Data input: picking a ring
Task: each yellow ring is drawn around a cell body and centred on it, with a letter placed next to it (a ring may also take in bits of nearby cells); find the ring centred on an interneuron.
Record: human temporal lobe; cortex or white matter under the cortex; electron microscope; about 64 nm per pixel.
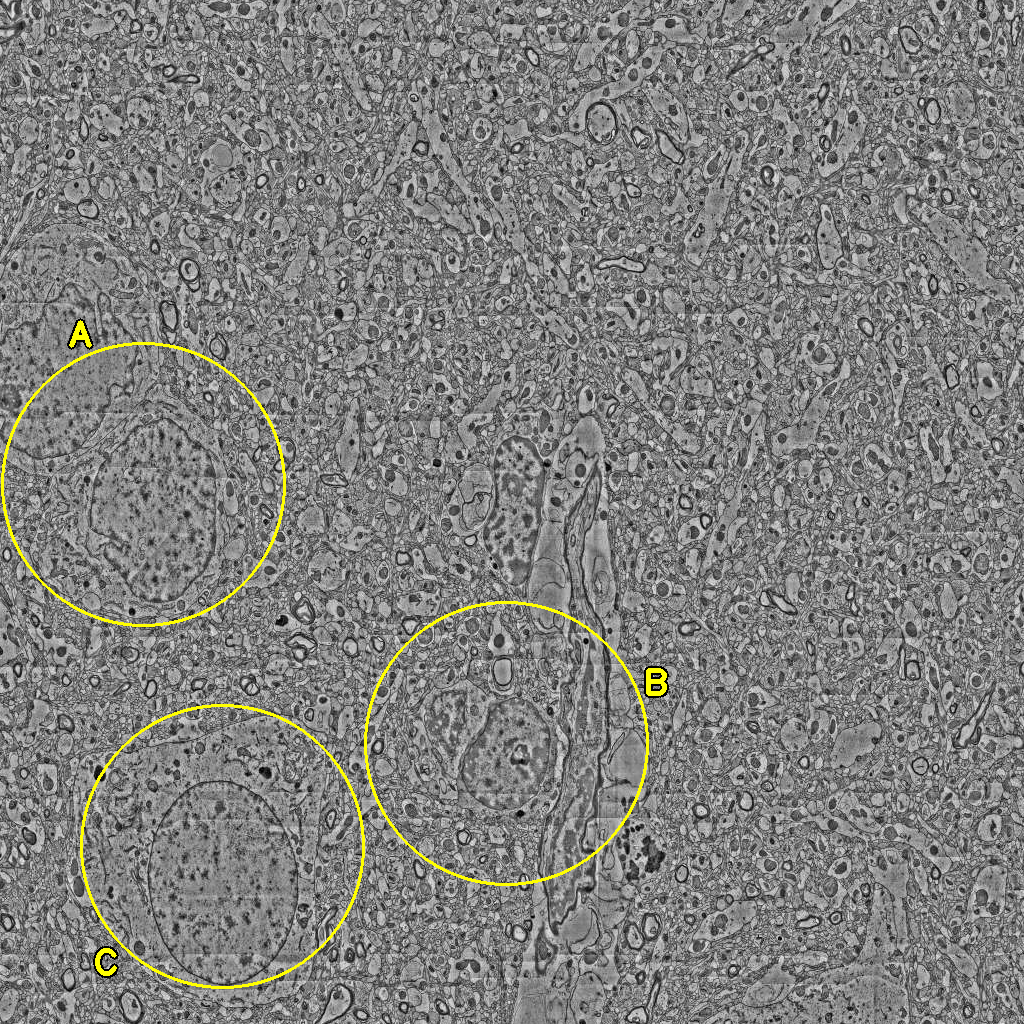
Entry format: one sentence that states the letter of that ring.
In the picture, the cell asked for sits at the centre of ring A.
